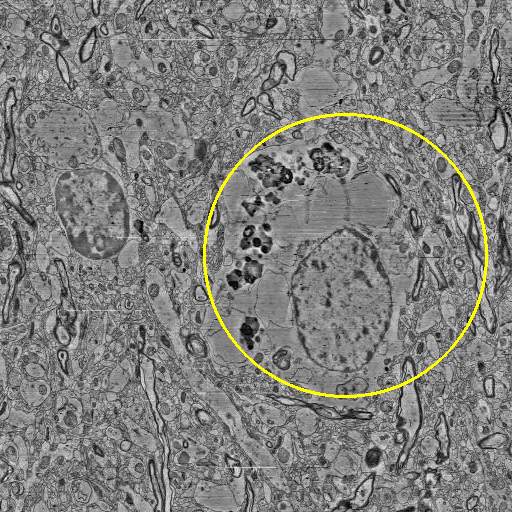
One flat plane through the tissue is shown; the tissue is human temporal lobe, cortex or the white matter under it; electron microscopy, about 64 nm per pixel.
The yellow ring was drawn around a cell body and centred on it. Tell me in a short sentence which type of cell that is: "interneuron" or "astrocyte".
The cell at the ring's centre is an astrocyte.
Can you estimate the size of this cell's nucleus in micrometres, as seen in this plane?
About 10 by 7 micrometres in this plane.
